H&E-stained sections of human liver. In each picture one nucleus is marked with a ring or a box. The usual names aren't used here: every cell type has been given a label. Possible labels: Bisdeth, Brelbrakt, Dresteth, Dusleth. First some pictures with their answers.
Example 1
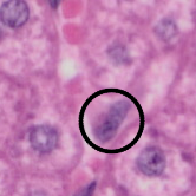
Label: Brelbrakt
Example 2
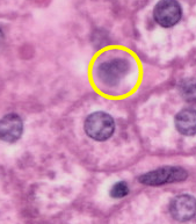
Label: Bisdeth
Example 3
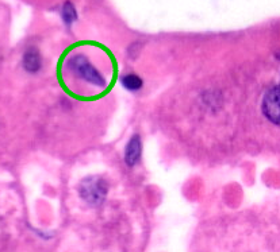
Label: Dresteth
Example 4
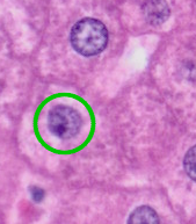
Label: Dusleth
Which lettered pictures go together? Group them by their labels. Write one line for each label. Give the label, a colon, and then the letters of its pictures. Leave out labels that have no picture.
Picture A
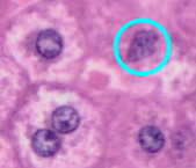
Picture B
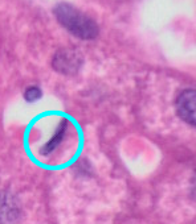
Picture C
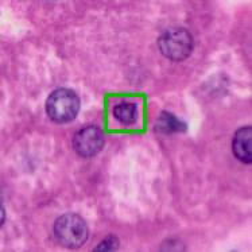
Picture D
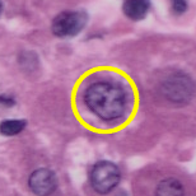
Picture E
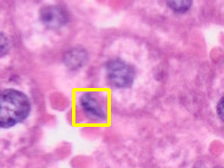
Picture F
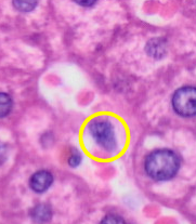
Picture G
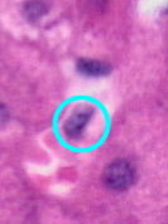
Bisdeth: B, E
Brelbrakt: F, G
Dresteth: A, C
Dusleth: D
